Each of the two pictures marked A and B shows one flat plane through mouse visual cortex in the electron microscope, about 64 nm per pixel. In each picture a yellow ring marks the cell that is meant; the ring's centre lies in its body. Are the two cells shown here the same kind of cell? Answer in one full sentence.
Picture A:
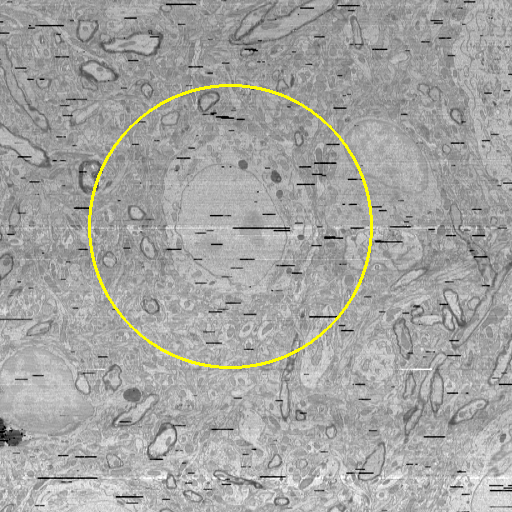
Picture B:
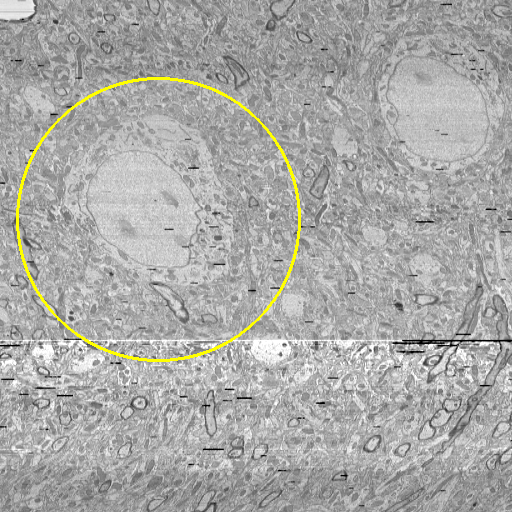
Yes, both cells are excitatory neurons.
